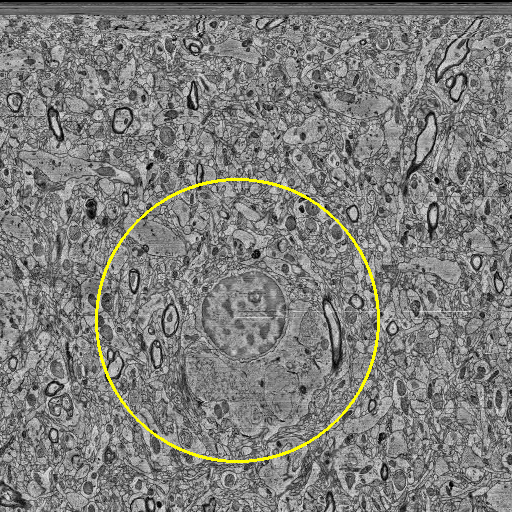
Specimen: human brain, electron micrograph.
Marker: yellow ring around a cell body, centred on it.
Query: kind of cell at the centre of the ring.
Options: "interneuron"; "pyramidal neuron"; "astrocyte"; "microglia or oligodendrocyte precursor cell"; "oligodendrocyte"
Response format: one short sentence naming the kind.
This cell body belongs to an oligodendrocyte.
